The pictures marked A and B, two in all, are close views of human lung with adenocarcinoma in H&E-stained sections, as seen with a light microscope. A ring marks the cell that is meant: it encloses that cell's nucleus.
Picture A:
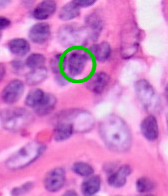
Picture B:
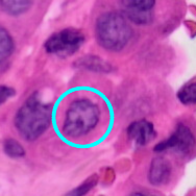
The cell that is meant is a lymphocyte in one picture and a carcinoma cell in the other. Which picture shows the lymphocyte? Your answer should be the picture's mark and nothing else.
A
